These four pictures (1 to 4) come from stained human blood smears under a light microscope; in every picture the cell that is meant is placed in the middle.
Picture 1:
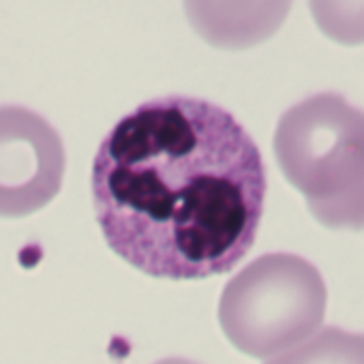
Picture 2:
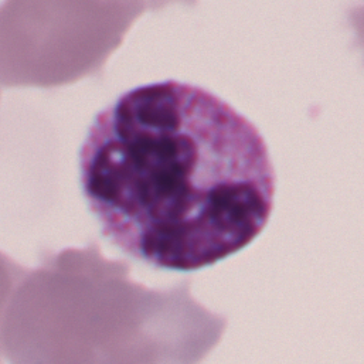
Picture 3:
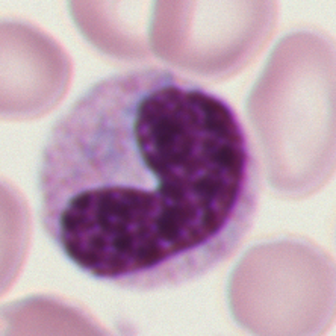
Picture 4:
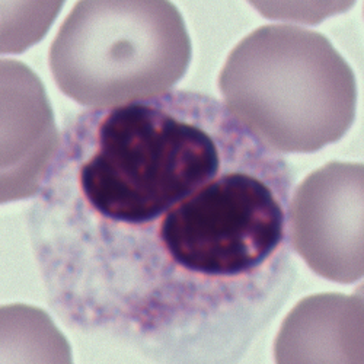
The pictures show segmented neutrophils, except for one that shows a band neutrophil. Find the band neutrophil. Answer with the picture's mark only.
3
